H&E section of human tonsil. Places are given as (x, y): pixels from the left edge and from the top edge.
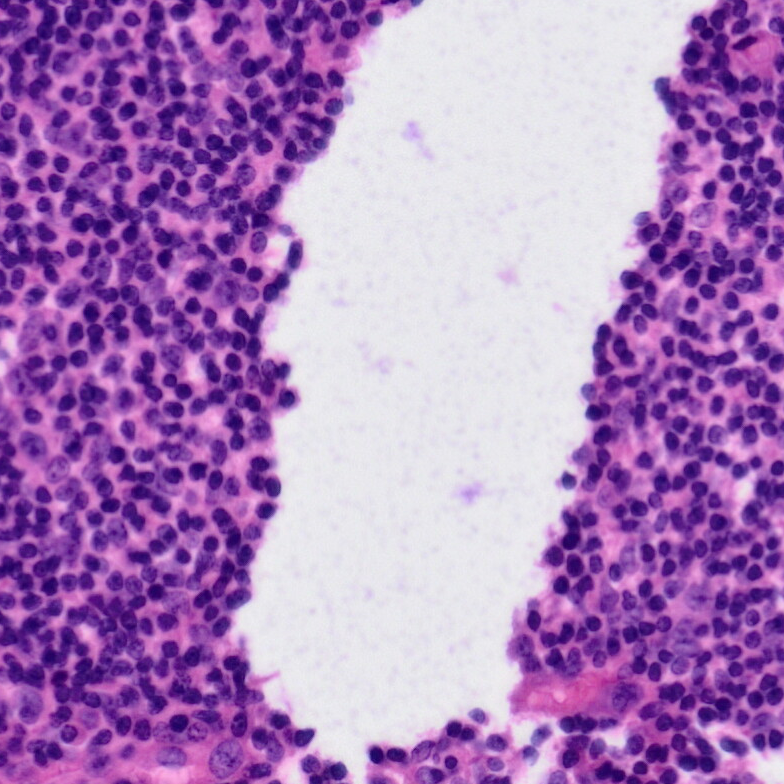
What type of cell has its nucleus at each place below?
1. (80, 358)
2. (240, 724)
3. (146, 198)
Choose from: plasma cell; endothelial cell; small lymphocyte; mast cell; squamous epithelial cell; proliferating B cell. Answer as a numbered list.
1. small lymphocyte
2. plasma cell
3. small lymphocyte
